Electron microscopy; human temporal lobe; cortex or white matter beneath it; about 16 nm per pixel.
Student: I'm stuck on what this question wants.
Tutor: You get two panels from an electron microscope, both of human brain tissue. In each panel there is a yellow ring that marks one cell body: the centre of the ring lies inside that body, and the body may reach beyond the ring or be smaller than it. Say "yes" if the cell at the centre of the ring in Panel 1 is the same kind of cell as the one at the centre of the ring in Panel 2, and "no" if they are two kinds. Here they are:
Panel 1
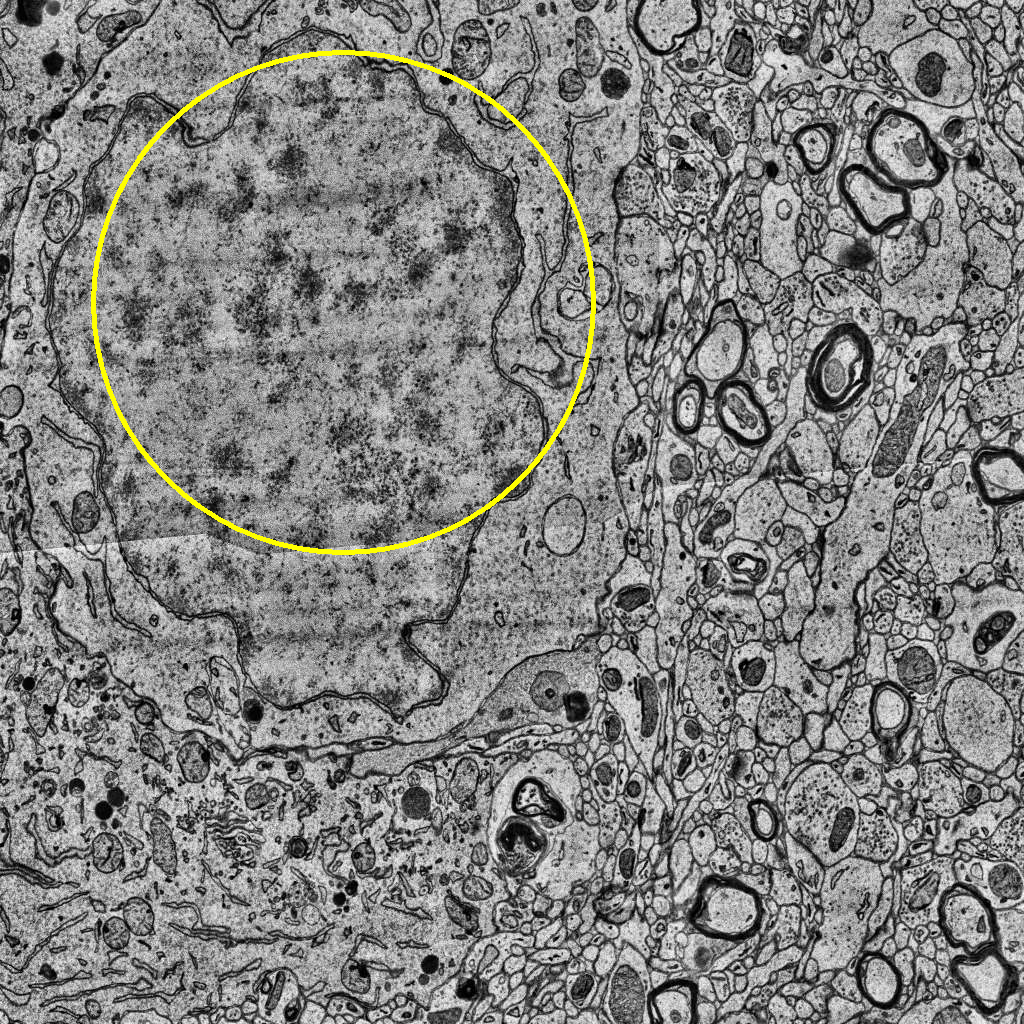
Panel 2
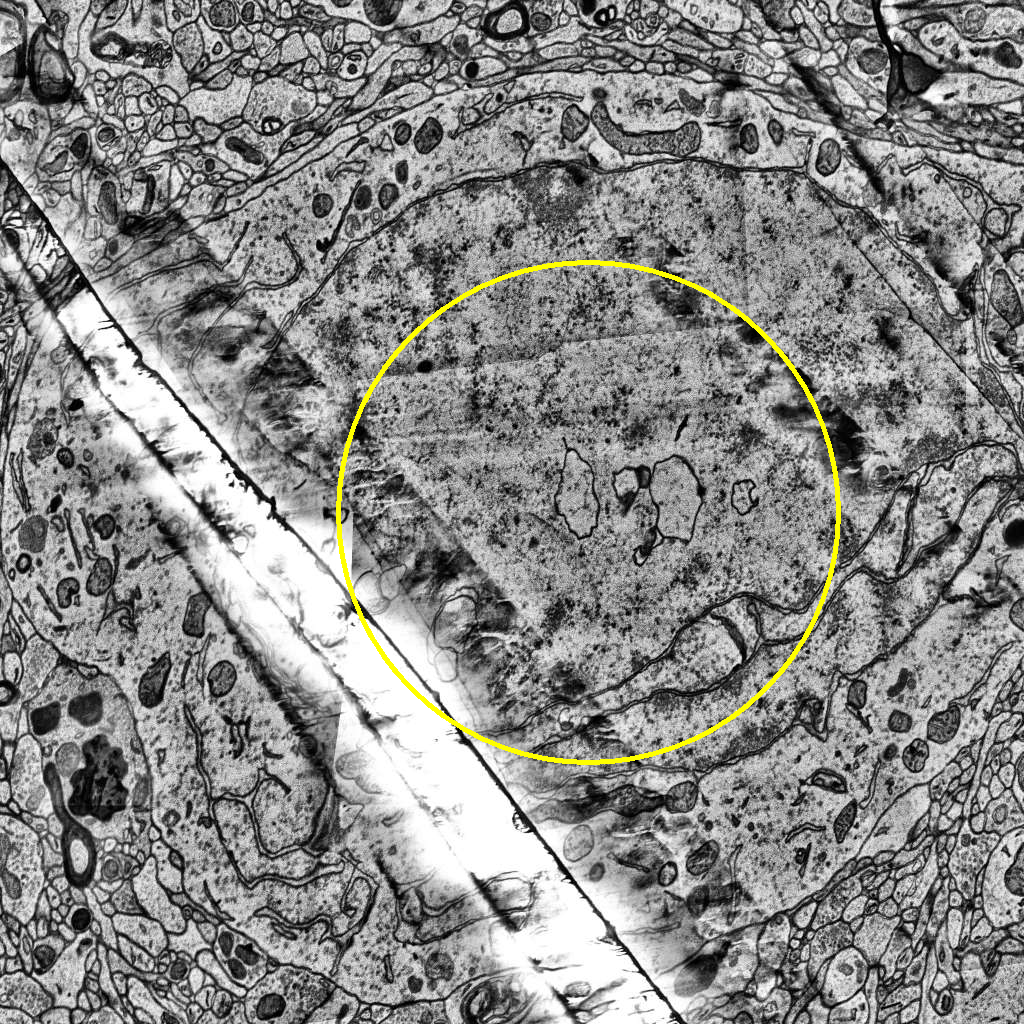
yes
